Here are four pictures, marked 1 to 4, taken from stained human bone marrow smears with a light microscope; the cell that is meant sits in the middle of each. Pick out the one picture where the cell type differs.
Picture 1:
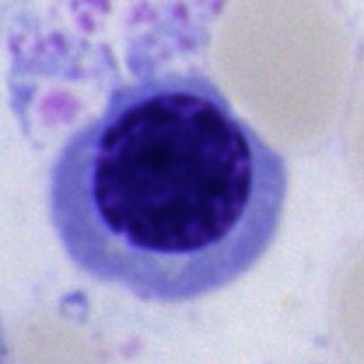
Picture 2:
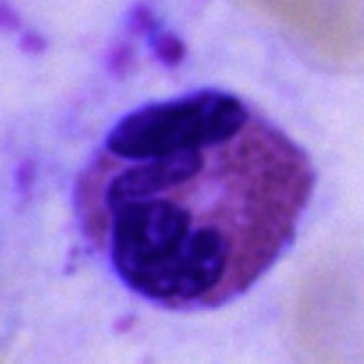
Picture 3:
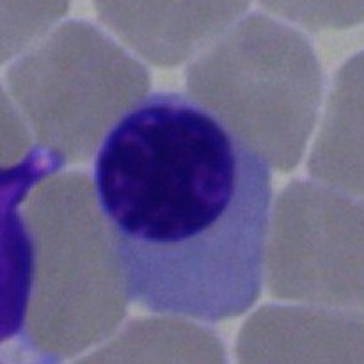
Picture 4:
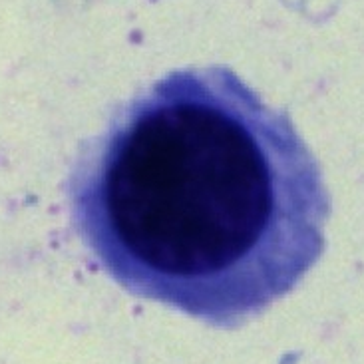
2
